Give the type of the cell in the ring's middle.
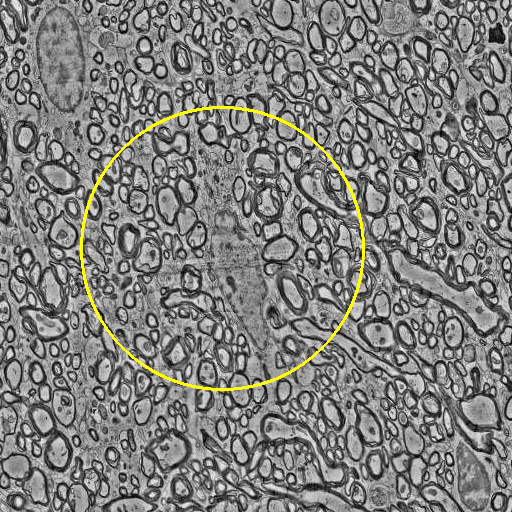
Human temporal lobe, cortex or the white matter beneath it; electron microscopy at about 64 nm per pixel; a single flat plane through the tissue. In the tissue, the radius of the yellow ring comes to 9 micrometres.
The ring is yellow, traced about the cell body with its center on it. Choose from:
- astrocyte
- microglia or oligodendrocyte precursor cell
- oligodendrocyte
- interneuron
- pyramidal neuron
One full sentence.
Here, an astrocyte is the cell lying at the center of the yellow ring.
